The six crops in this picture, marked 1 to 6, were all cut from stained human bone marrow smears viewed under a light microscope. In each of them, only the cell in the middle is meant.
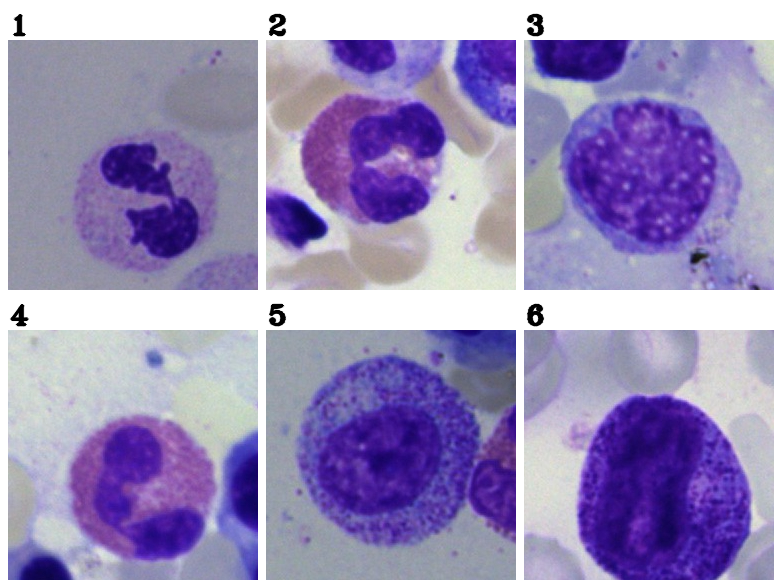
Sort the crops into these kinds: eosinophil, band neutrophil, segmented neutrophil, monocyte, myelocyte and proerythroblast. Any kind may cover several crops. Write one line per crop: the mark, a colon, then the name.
1: segmented neutrophil
2: eosinophil
3: monocyte
4: eosinophil
5: myelocyte
6: myelocyte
